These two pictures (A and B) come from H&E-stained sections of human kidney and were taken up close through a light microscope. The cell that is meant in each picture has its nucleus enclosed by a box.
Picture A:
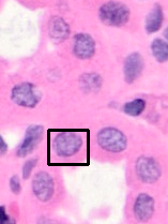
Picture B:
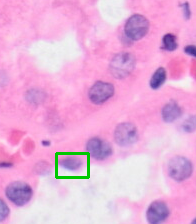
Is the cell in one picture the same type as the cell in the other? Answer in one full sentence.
Yes, the two pictures both show “loop of Henle or distal tubule cells”.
